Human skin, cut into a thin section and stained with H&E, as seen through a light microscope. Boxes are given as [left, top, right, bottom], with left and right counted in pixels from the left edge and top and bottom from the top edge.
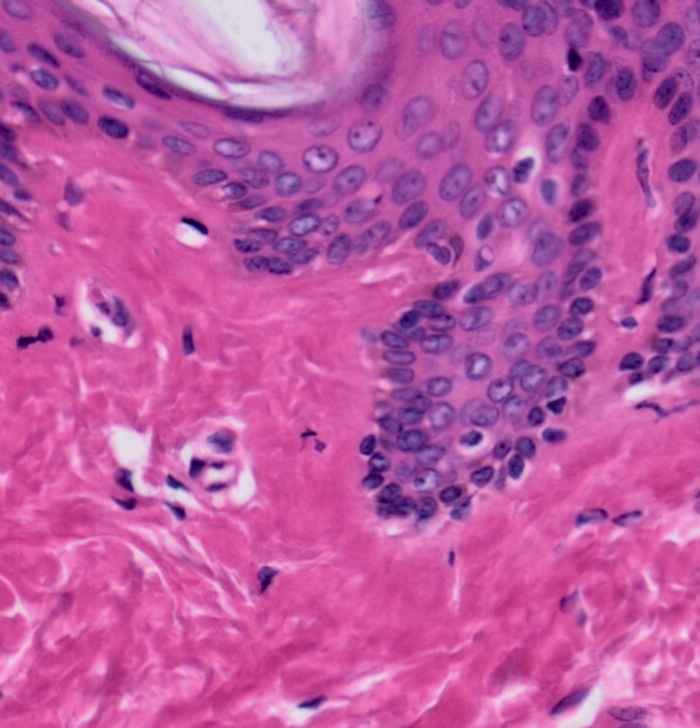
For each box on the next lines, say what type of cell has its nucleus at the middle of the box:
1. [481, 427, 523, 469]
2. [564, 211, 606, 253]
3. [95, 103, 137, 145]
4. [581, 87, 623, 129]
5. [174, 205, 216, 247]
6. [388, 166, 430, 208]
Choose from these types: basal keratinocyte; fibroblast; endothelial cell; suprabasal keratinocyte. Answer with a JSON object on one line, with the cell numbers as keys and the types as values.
{"1": "basal keratinocyte", "2": "basal keratinocyte", "3": "basal keratinocyte", "4": "basal keratinocyte", "5": "fibroblast", "6": "suprabasal keratinocyte"}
